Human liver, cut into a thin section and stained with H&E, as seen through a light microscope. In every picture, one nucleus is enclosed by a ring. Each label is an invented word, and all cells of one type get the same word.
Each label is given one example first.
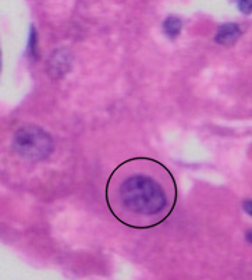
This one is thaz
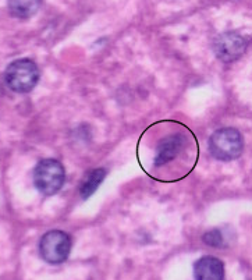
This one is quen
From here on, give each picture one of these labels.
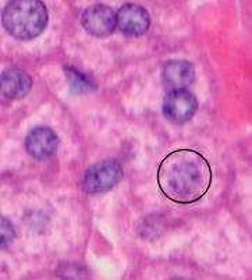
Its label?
thaz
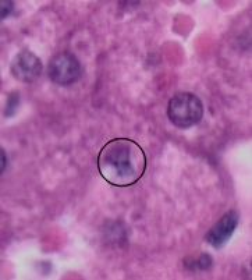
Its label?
quen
